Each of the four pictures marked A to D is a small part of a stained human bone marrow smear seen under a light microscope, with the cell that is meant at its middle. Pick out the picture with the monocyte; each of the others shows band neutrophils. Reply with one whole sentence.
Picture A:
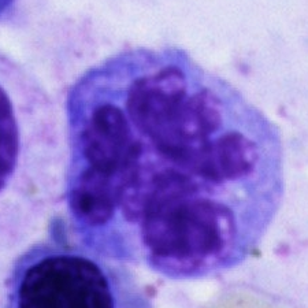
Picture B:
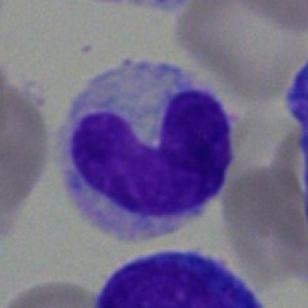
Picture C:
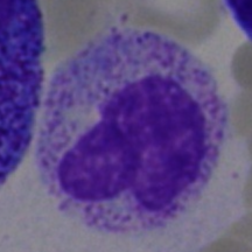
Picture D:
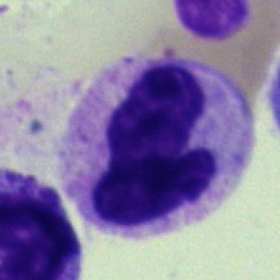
Picture A shows the monocyte.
